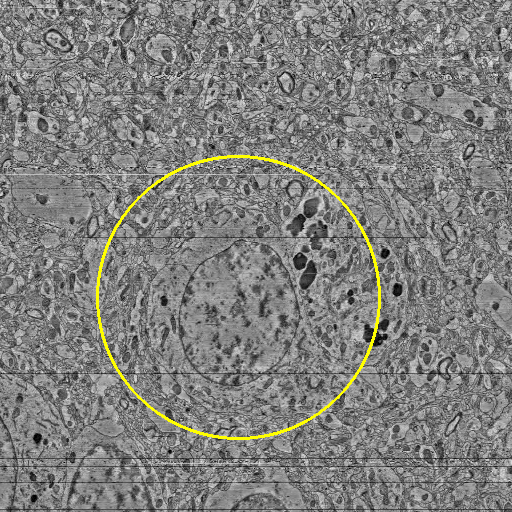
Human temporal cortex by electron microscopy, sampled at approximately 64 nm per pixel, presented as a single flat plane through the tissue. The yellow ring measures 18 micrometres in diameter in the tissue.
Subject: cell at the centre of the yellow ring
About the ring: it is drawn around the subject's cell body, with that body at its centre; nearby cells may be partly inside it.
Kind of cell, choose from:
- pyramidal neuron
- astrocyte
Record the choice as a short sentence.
The subject cell is a pyramidal neuron.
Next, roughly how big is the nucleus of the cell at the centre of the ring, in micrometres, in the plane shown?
About 10 by 8 micrometers, in this plane.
